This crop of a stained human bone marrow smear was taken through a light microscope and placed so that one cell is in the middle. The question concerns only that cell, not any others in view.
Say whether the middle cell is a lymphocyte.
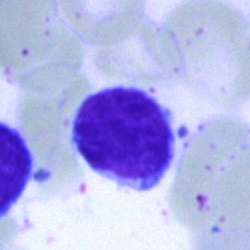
yes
